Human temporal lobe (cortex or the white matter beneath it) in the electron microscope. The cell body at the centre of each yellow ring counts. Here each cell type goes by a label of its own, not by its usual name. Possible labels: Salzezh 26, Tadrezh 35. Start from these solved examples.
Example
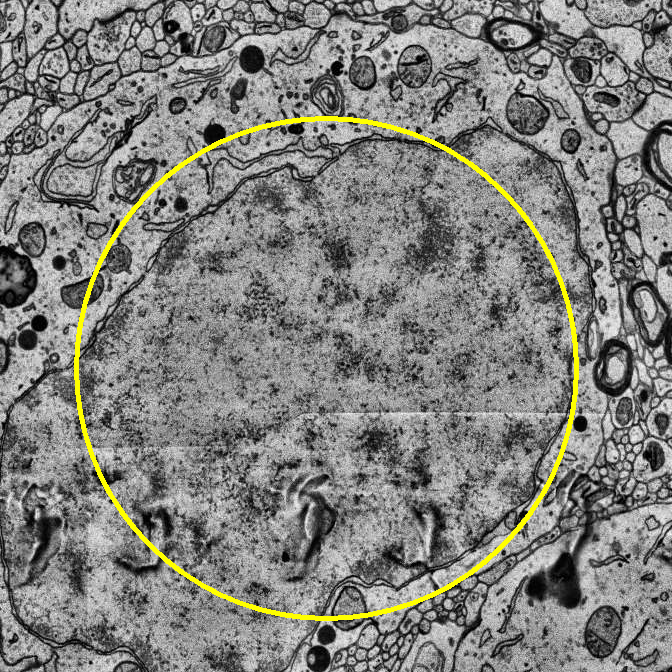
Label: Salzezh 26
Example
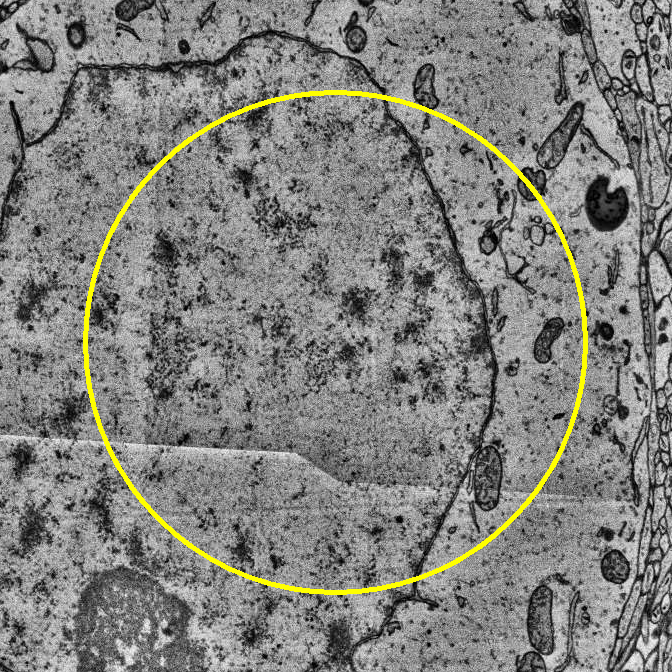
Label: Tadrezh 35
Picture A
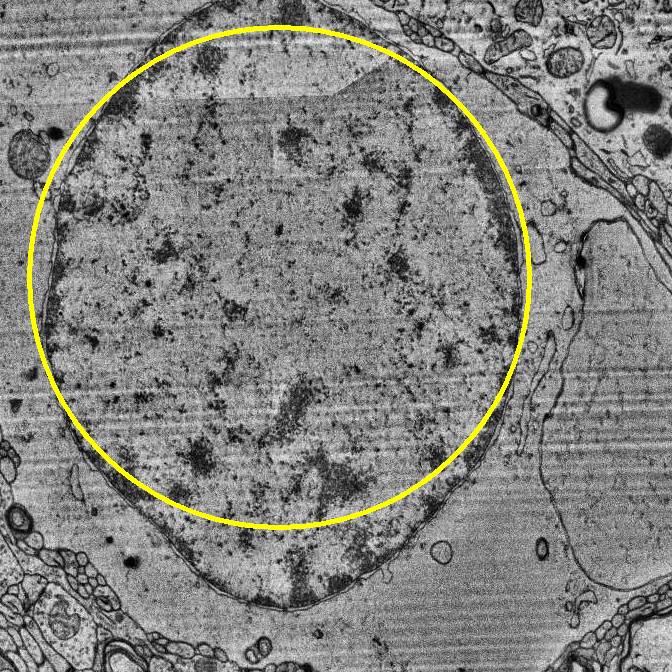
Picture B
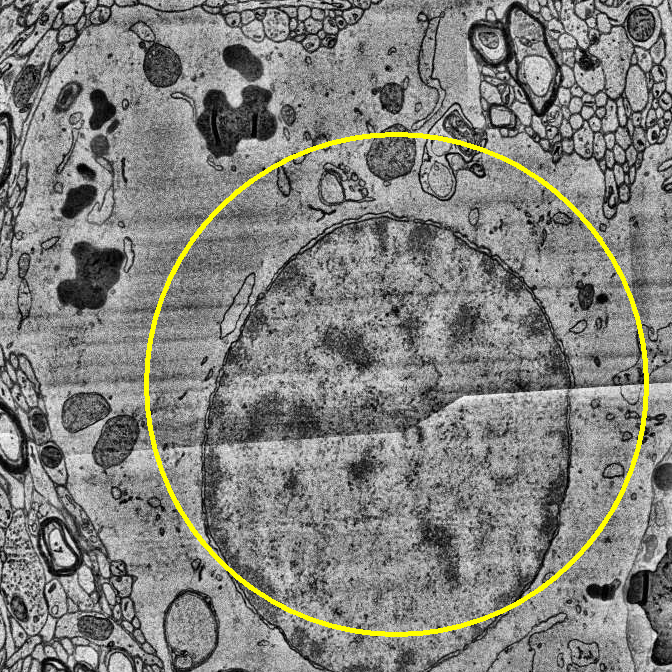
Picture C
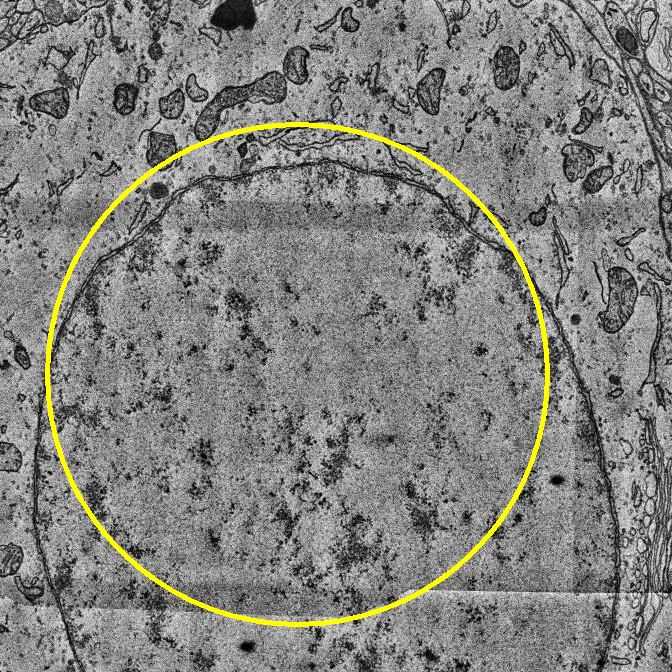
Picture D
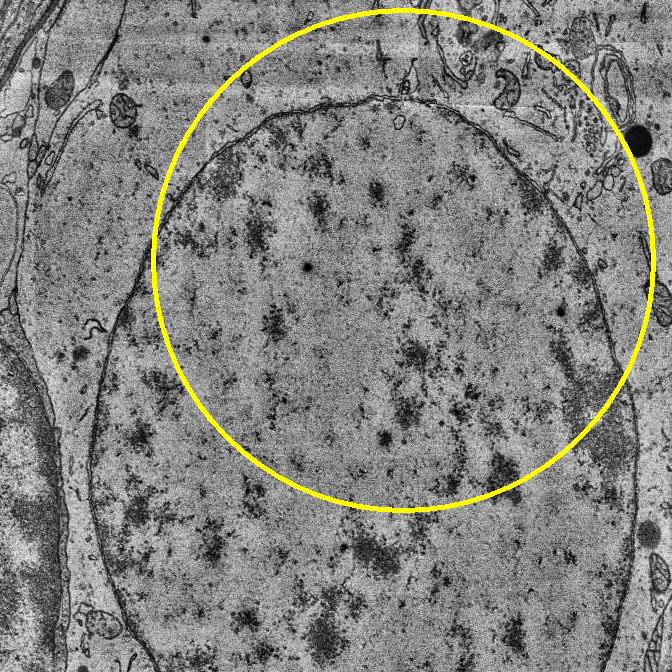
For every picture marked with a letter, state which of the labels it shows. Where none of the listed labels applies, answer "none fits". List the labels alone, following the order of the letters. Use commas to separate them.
none fits, none fits, Tadrezh 35, Tadrezh 35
